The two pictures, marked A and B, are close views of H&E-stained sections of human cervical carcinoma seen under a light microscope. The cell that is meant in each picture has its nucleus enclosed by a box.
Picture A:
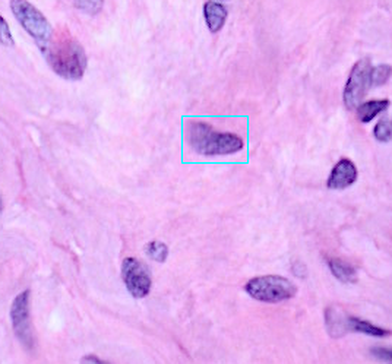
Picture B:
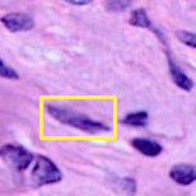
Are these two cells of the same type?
yes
